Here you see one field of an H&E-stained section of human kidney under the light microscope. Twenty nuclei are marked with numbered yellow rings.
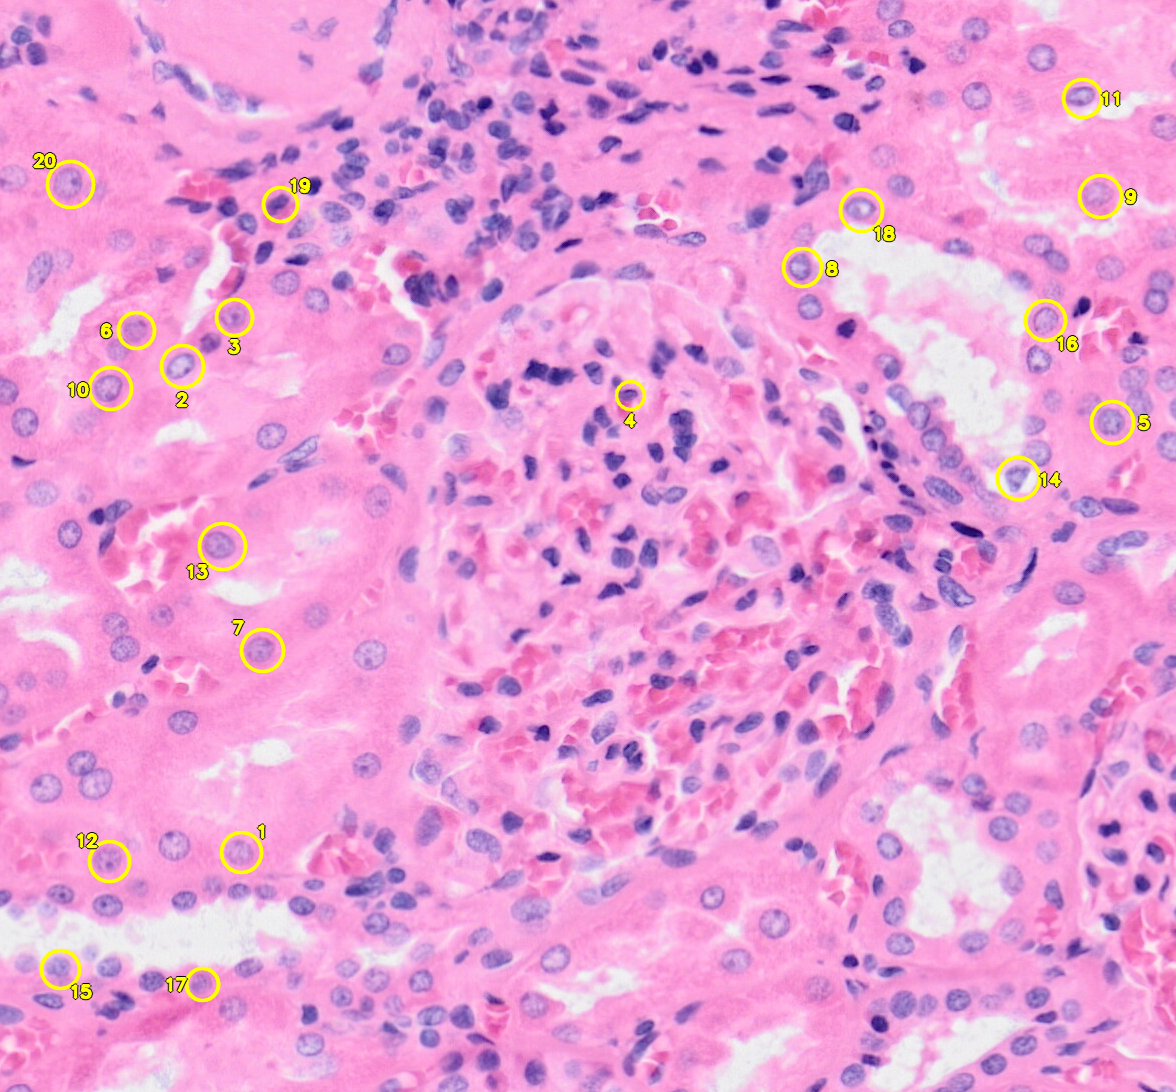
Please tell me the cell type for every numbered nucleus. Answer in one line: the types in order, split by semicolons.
proximal tubule cell; proximal tubule cell; proximal tubule cell; endothelial cell; loop of Henle or distal tubule cell; proximal tubule cell; proximal tubule cell; loop of Henle or distal tubule cell; proximal tubule cell; proximal tubule cell; proximal tubule cell; proximal tubule cell; proximal tubule cell; loop of Henle or distal tubule cell; loop of Henle or distal tubule cell; loop of Henle or distal tubule cell; loop of Henle or distal tubule cell; loop of Henle or distal tubule cell; endothelial cell; proximal tubule cell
